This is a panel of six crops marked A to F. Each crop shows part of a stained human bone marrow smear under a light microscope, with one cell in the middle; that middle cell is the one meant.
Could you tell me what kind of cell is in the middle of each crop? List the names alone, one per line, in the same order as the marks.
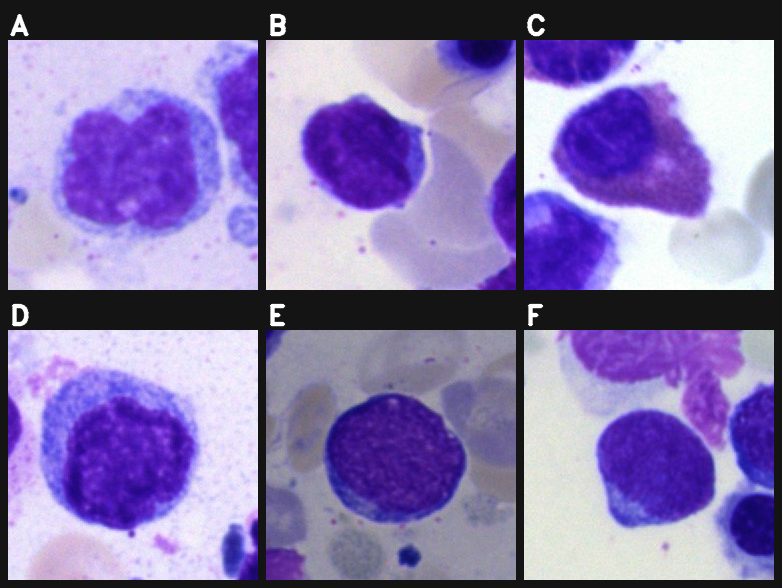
monocyte
blast
eosinophil
blast
blast
blast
